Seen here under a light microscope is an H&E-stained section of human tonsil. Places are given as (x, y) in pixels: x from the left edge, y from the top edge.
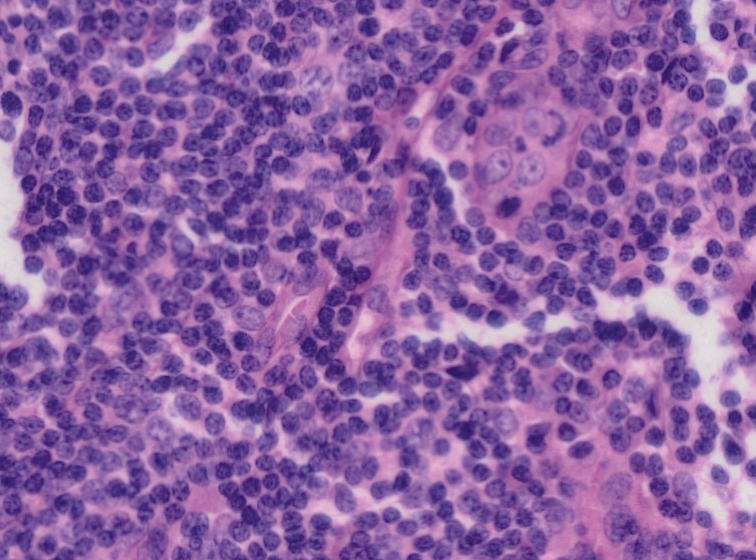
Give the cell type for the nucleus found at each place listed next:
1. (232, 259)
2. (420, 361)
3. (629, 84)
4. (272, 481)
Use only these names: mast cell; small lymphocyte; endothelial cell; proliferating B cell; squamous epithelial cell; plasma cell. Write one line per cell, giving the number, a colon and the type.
1: small lymphocyte
2: small lymphocyte
3: plasma cell
4: small lymphocyte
